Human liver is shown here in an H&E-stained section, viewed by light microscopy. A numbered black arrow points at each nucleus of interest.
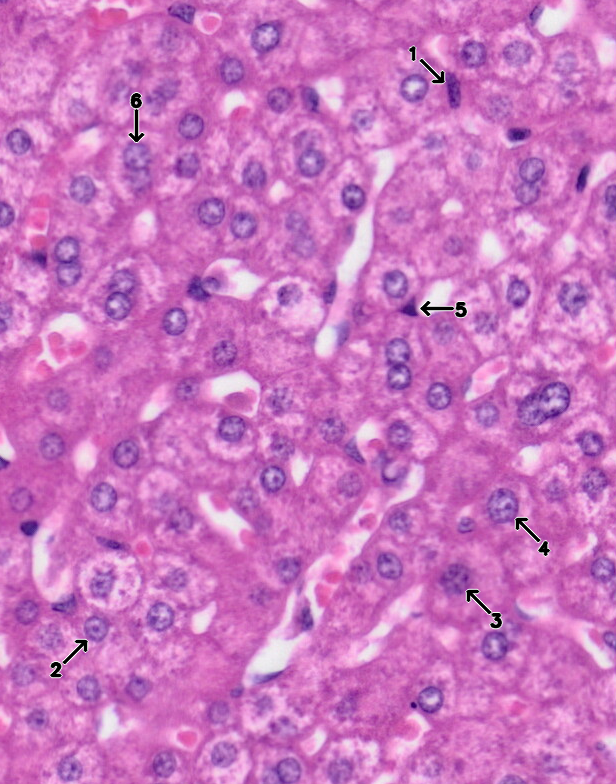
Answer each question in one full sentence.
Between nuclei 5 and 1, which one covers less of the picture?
Nucleus 5 is the smaller one; nucleus 1 covers about 2.5 times its area.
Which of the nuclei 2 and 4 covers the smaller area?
Nucleus 2 covers less area, with nucleus 4 about 1.5 times as large.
